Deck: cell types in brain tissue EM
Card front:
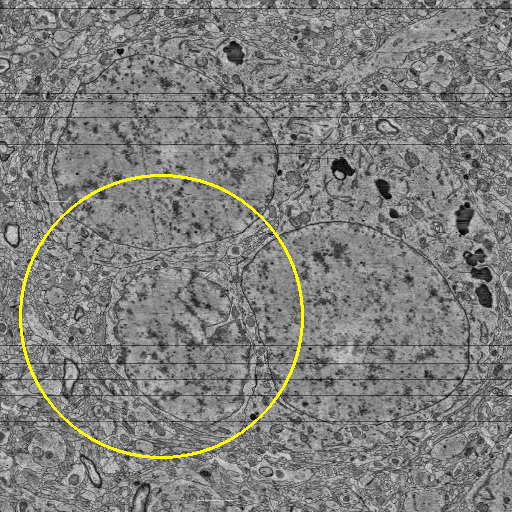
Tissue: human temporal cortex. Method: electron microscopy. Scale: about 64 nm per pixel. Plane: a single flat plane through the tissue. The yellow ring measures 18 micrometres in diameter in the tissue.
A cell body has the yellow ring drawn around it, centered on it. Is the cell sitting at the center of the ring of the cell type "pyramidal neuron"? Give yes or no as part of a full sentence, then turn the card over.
No, on this card the yellow ring is centered on a cell of a different type.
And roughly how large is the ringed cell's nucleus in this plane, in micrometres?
The nucleus of the ringed cell is approximately 11 by 8 micrometres in this plane.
